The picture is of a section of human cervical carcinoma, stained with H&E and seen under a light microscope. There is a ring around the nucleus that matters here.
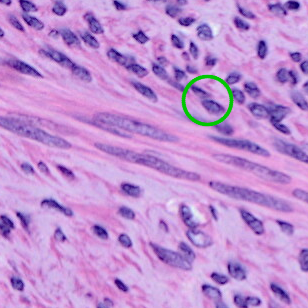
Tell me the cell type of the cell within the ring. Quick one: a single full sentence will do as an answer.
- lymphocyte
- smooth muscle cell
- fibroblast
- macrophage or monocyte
As for its identity, the cell within the ring is a smooth muscle cell.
